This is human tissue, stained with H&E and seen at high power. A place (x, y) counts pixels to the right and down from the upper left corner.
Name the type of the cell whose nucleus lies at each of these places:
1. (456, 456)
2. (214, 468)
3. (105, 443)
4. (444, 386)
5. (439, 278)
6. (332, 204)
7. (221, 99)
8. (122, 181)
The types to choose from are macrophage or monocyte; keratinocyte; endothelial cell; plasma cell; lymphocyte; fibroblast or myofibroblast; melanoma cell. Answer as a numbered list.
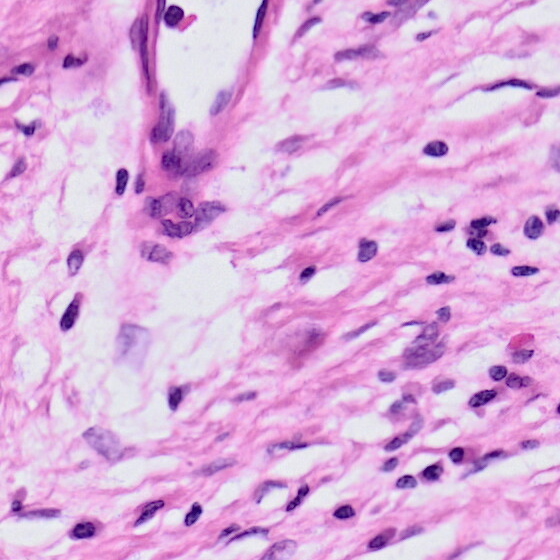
1. plasma cell
2. fibroblast or myofibroblast
3. fibroblast or myofibroblast
4. fibroblast or myofibroblast
5. lymphocyte
6. fibroblast or myofibroblast
7. endothelial cell
8. lymphocyte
